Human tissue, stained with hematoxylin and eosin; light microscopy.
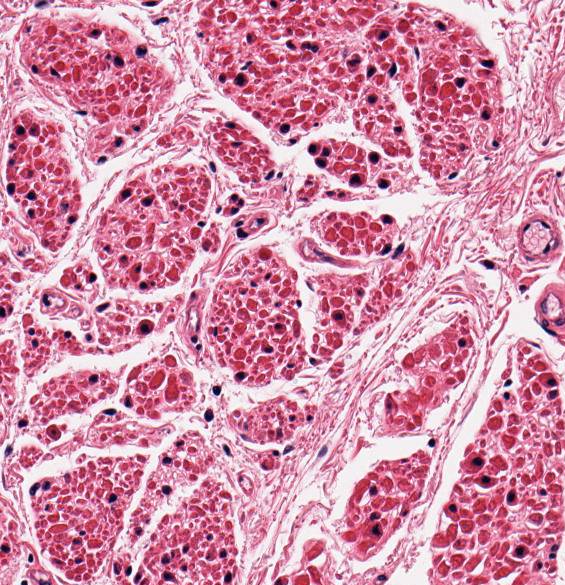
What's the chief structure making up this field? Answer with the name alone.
smooth muscle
